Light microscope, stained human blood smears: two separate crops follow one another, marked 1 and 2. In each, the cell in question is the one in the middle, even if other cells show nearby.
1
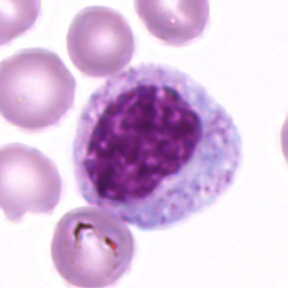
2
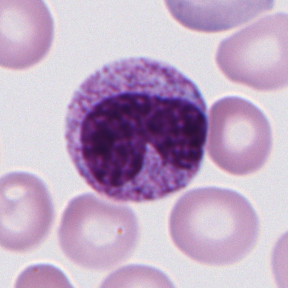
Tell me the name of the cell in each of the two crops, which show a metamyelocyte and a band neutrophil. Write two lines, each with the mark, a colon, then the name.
1: metamyelocyte
2: band neutrophil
